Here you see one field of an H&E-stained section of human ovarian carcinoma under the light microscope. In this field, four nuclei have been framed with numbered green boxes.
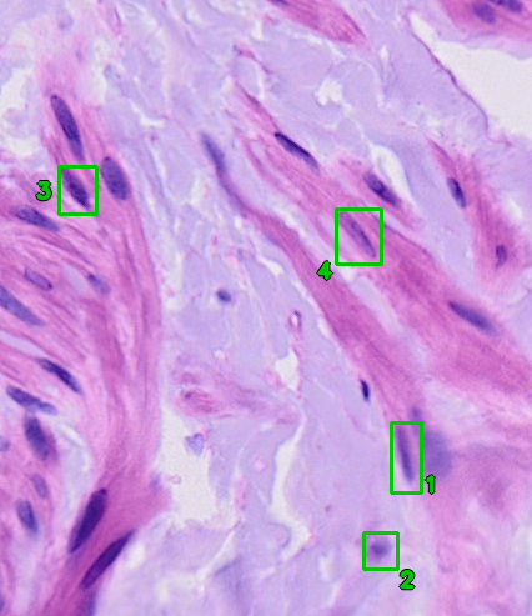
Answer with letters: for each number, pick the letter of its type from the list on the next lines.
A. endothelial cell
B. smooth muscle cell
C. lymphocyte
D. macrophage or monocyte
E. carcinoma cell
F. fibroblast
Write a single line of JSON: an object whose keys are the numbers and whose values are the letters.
{"1": "B", "2": "F", "3": "B", "4": "B"}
